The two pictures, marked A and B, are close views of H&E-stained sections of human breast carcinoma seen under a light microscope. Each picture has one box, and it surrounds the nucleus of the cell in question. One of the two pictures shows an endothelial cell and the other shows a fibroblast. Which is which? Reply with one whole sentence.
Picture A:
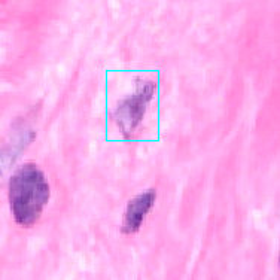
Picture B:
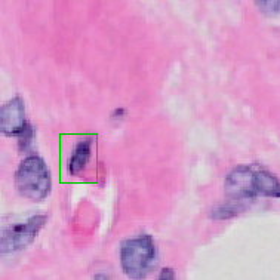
Picture A shows a fibroblast and picture B shows an endothelial cell.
